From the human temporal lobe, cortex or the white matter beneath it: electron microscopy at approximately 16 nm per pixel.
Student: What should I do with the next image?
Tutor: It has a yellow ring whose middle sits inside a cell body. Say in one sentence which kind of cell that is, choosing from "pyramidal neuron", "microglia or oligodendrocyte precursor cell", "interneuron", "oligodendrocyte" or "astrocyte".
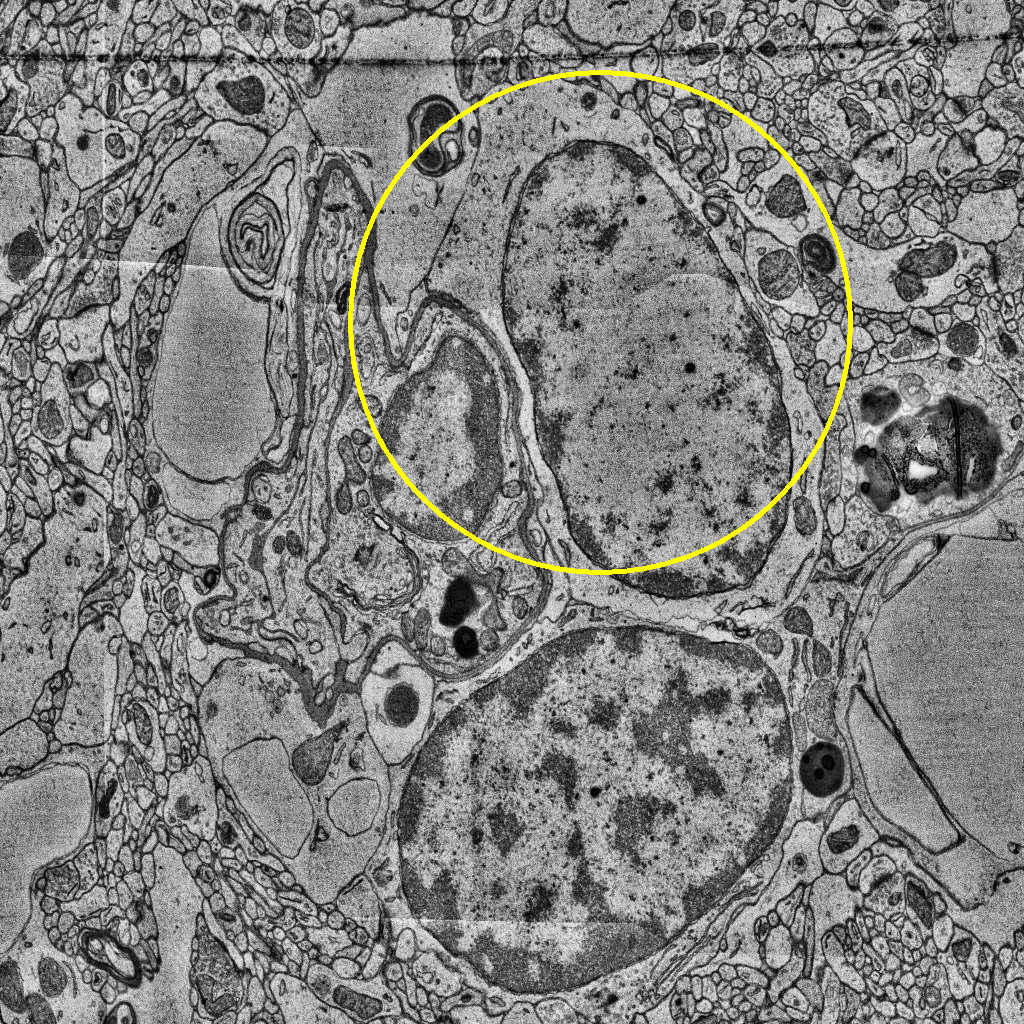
The ring's centre is occupied by a microglial cell or oligodendrocyte precursor cell.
